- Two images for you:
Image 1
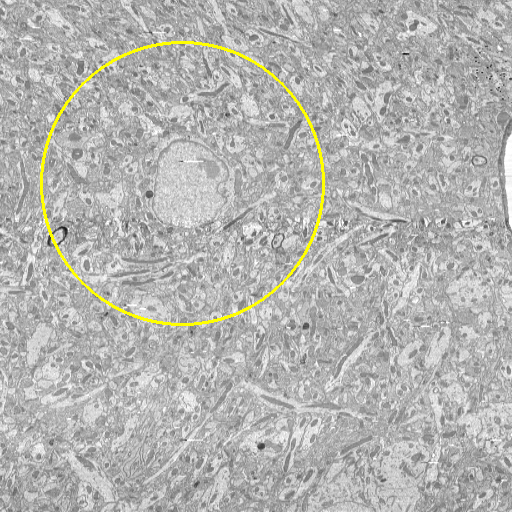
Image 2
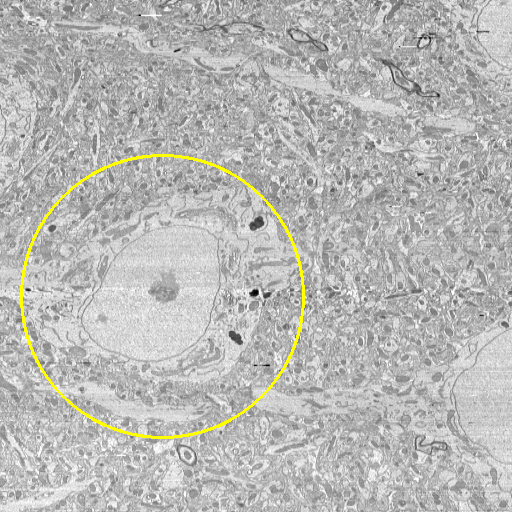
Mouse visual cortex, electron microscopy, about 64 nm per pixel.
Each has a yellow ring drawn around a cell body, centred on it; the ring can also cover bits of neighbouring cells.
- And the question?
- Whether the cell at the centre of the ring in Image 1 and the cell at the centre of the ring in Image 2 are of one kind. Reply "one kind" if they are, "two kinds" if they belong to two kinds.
two kinds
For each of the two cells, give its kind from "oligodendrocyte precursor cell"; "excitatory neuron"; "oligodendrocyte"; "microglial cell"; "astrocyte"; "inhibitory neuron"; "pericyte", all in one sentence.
The first picture has an oligodendrocyte precursor cell in its ring, the second has an excitatory neuron.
